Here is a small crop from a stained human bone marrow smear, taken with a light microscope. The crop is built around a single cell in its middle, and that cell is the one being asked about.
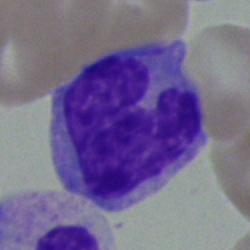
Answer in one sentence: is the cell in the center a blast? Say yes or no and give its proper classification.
No, the cell at the center of this crop is a monocyte instead of a blast.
